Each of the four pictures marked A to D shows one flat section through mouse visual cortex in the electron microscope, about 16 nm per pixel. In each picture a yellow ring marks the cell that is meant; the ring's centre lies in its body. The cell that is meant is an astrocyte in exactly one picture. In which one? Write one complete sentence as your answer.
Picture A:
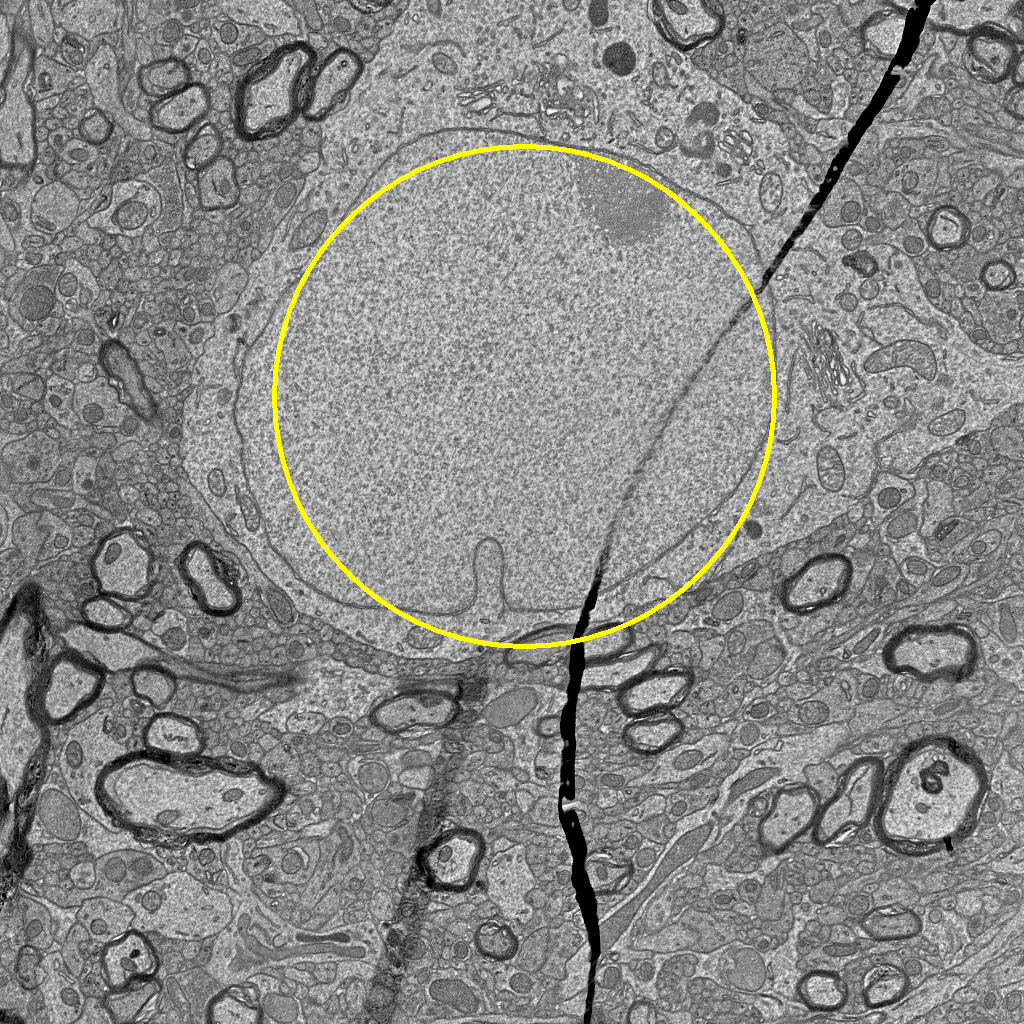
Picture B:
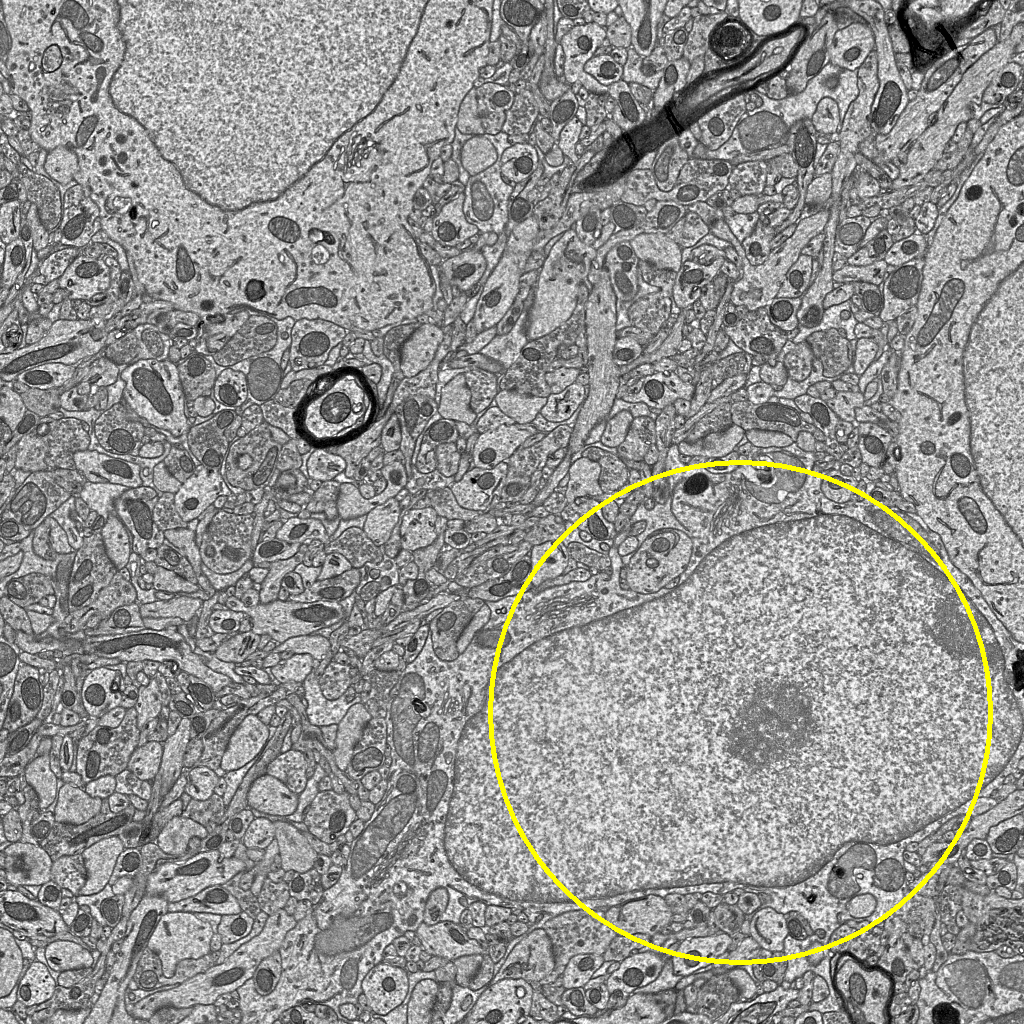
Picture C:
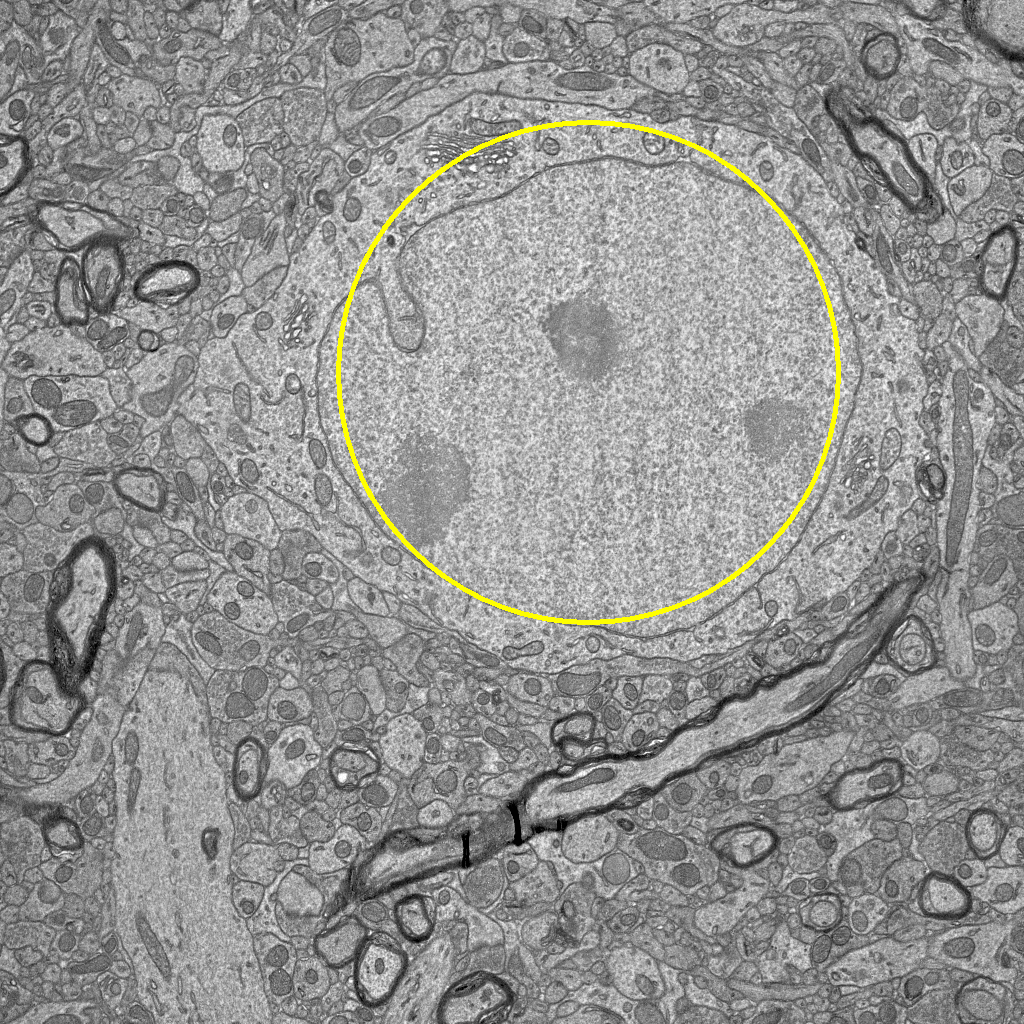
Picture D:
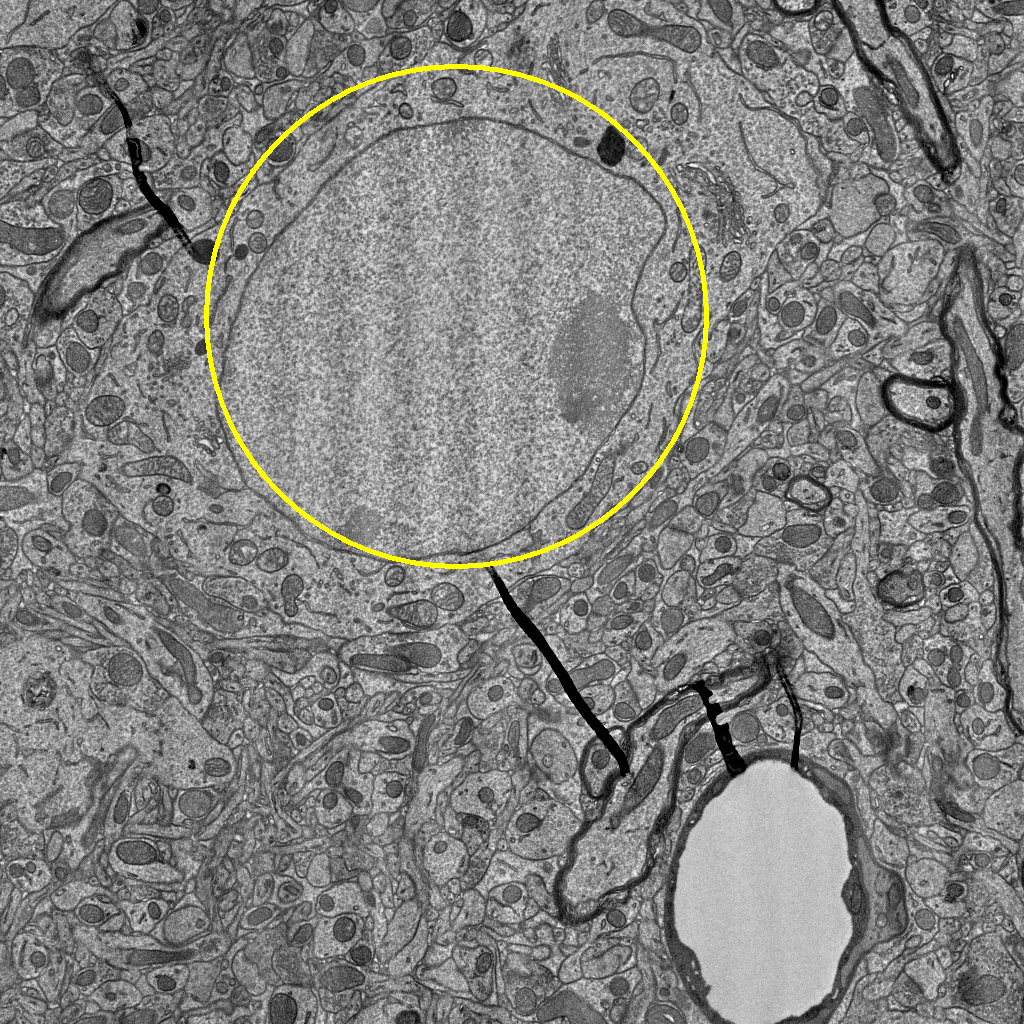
Picture B is the one that shows the astrocyte.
